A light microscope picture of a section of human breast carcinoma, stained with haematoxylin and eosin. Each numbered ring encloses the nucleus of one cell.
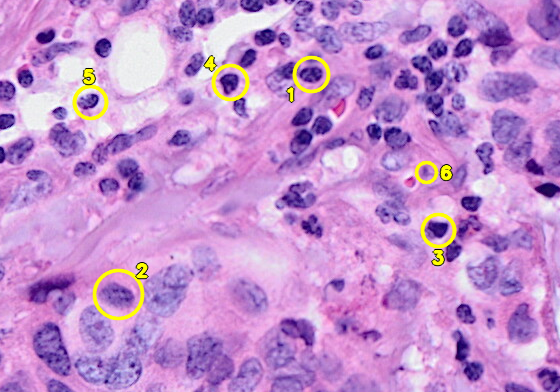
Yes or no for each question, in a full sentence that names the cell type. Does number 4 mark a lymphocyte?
Yes, the nucleus numbered 4 belongs to a lymphocyte.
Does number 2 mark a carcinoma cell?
Yes, the cell sitting at number 2 is a carcinoma cell.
